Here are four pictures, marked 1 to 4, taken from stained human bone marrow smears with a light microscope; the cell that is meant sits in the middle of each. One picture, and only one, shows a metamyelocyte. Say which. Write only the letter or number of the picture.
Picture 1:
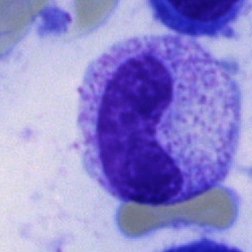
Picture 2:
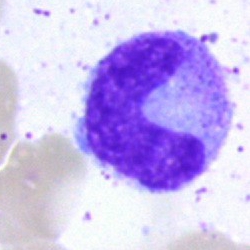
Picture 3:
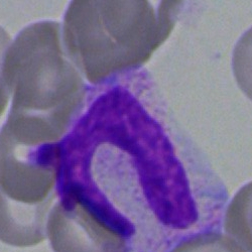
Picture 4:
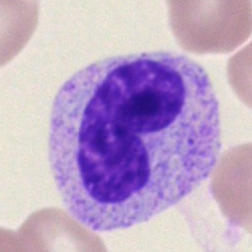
4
